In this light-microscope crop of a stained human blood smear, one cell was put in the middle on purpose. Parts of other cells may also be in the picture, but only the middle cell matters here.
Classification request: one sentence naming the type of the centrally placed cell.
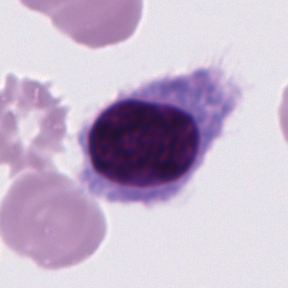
For this crop, the cell in the middle is a hairy cell.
